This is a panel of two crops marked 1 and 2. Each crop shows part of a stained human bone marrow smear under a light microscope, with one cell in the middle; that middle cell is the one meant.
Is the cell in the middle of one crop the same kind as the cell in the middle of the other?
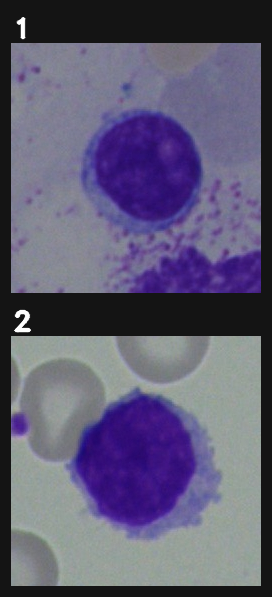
yes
